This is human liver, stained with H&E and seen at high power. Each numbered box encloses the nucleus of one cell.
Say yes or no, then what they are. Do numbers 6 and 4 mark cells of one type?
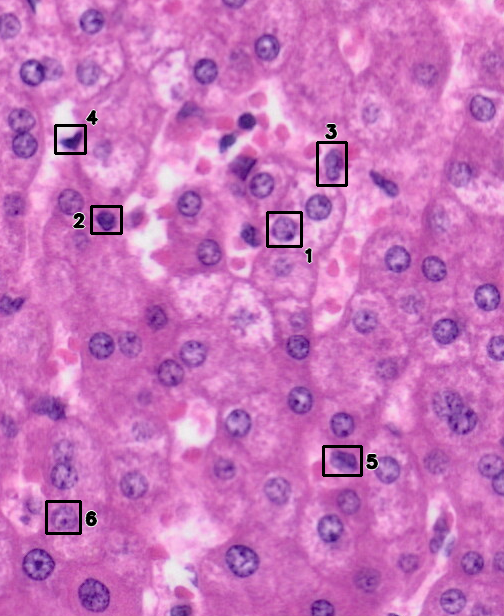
No, as for cell 6, it is a hepatocyte, and cell 4 is an endothelial cell.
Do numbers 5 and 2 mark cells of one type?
No, with respect, cell 5 is an endothelial cell and cell 2 is a fibroblast or stellate cell.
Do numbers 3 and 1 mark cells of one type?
No, cell 3 is a Kupffer cell and cell 1, for its part, is a hepatocyte.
